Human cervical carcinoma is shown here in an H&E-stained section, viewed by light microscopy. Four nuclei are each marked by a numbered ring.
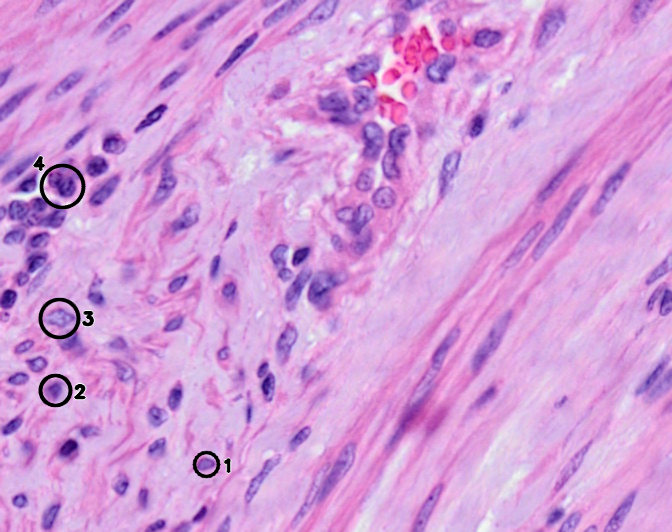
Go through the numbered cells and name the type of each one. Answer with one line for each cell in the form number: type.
1: smooth muscle cell
2: smooth muscle cell
3: smooth muscle cell
4: lymphocyte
